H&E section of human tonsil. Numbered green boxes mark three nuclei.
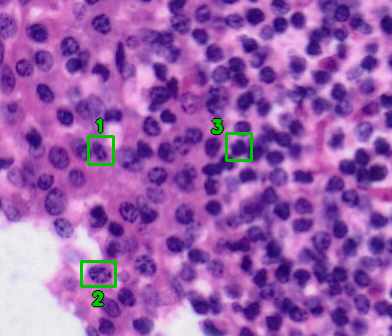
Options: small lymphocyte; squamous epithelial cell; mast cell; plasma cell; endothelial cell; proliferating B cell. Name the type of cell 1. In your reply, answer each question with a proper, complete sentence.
The cell pointed out as number 1 is a plasma cell.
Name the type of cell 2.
The cell pointed out by number 2 is a plasma cell.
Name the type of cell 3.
The mark numbered 3 indicates the nucleus of a small lymphocyte.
